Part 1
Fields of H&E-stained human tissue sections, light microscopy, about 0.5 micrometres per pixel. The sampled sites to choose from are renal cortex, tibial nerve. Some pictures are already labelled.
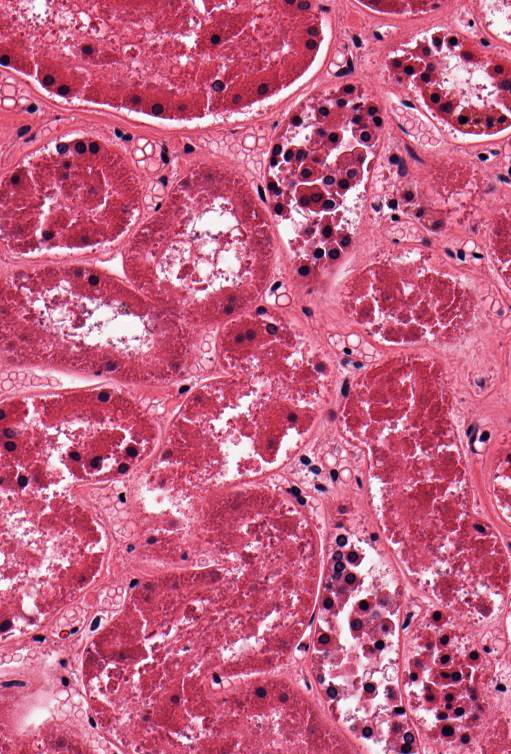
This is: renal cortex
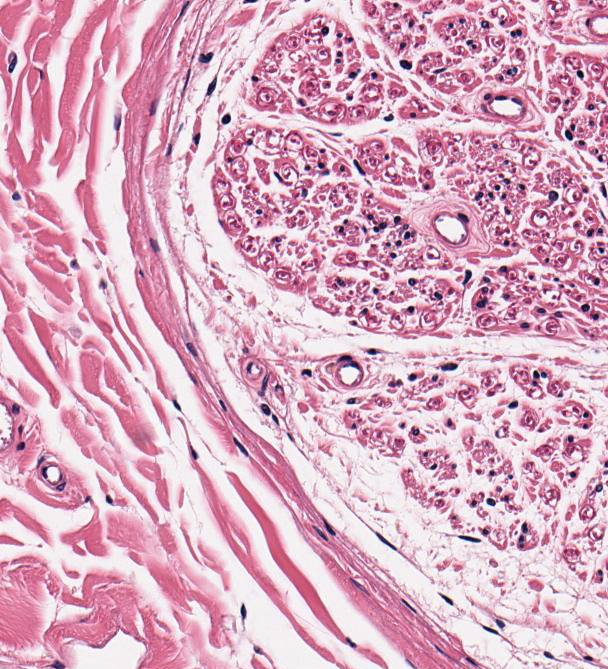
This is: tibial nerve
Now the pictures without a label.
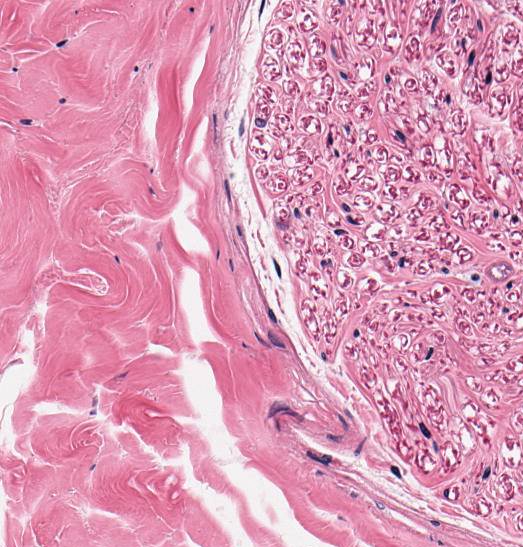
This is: tibial nerve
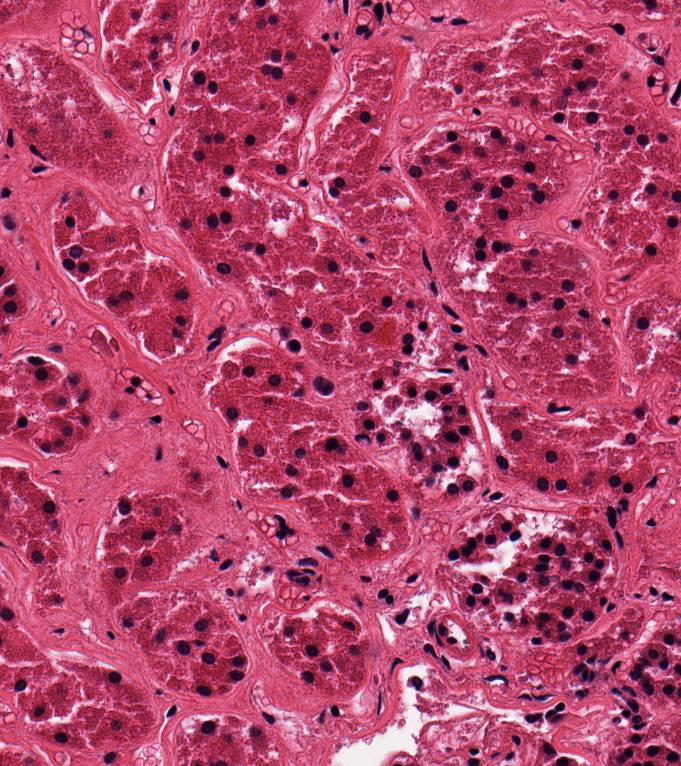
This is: renal cortex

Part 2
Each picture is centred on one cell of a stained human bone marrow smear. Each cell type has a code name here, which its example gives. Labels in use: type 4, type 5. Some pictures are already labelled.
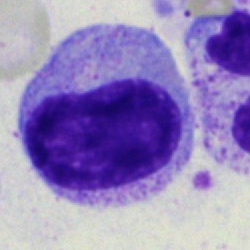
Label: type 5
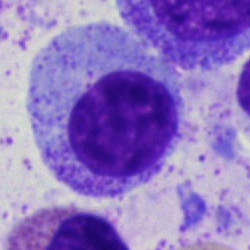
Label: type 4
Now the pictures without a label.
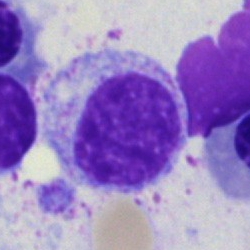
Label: type 4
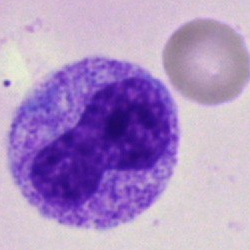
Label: type 5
